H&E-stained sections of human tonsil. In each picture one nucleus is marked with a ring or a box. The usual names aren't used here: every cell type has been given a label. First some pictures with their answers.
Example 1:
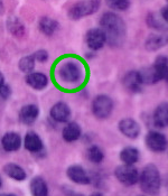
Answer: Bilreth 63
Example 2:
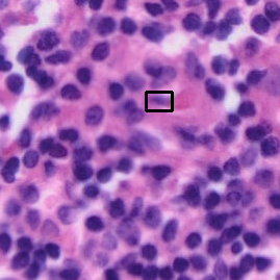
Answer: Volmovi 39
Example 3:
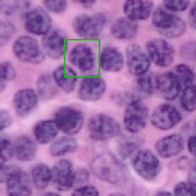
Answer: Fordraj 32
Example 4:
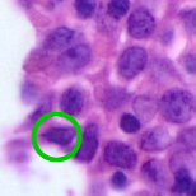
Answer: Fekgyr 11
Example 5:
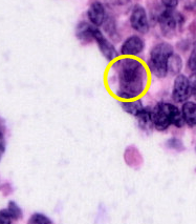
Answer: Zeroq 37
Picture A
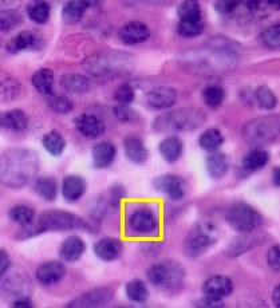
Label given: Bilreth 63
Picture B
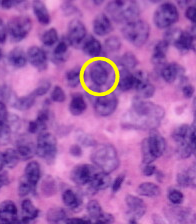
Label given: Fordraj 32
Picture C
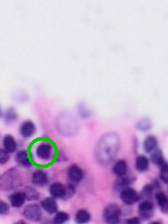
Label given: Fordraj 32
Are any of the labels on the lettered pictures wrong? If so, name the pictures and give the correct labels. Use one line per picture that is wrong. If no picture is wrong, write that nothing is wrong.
B: not Fordraj 32 but Zeroq 37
